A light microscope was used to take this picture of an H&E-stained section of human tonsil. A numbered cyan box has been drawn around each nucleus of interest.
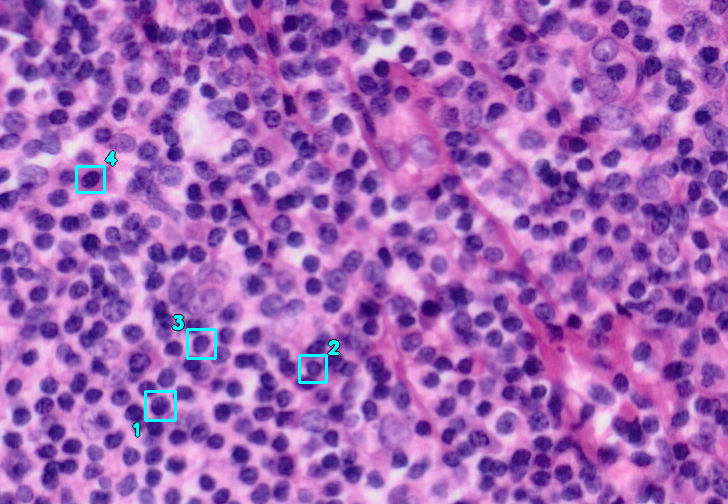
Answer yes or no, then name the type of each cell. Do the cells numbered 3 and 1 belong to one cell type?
Yes, both of the cells numbered 3 and 1 are small lymphocytes.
